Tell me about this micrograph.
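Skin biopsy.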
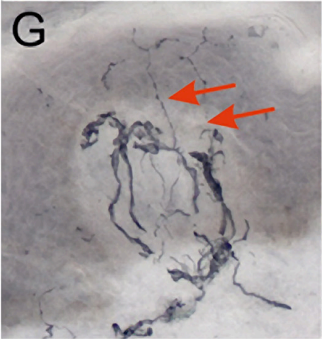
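A dense cluster of thick, twisted, dark-stained fiber bundles fills a rounded area of pale dermis beneath a curved band of grey epidermis. From this cluster only a few fine, dark threads run upward, crossing into the epidermal layer and extending toward its surface.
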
